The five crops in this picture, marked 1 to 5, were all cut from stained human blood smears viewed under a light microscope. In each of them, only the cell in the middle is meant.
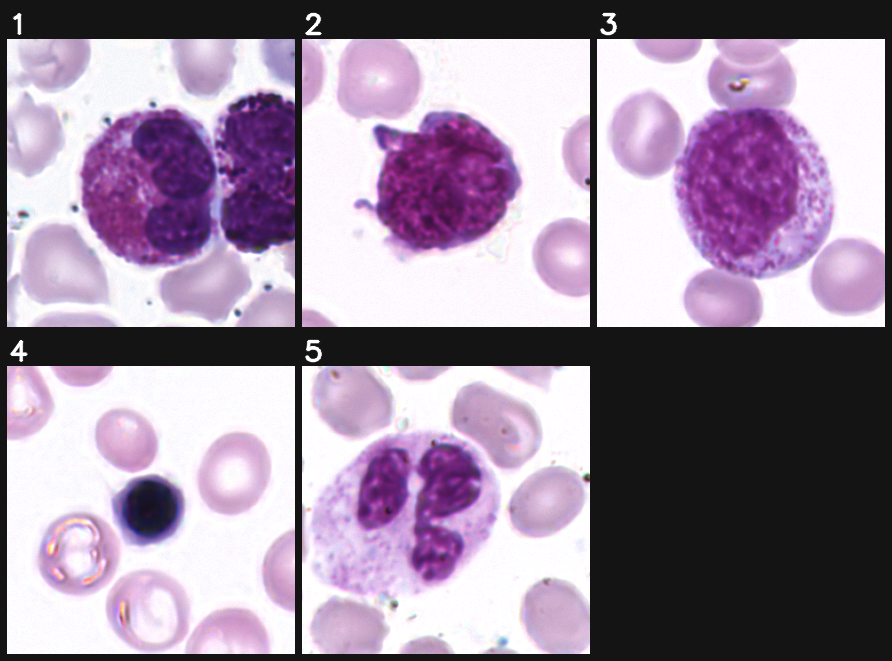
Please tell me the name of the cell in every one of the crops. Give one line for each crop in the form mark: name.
1: eosinophil
2: atypical promyelocyte
3: myelocyte
4: normoblast
5: segmented neutrophil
